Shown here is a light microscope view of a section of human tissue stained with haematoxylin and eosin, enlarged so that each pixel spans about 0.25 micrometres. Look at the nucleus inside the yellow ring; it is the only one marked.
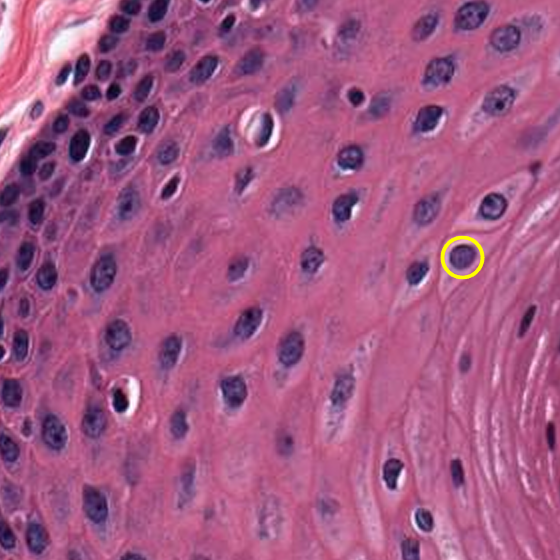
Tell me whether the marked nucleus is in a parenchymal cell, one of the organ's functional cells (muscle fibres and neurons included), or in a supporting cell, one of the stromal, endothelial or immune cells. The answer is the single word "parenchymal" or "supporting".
parenchymal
